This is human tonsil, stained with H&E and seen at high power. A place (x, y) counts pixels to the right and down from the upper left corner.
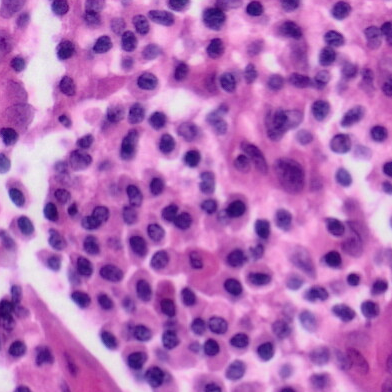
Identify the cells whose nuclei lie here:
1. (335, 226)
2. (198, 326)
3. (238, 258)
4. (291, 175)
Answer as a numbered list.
1. squamous epithelial cell
2. plasma cell
3. plasma cell
4. squamous epithelial cell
